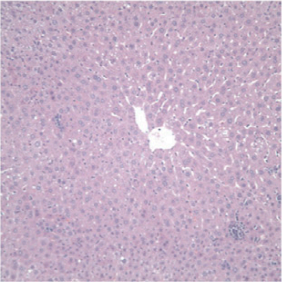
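Liver tissue stained evenly pink, with small round purple nuclei scattered throughout. In the centre lies a small open vessel, and from it plates of polygonal liver cells run outward in loose radiating cords, separated by narrow pale channels. The cells have pink cytoplasm and central nuclei. No round clear vacuoles break up the tissue, and the architecture is regular across the field, with a few small darker clusters of nuclei here and there. This is the ordinary appearance of liver parenchyma without fat accumulation.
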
